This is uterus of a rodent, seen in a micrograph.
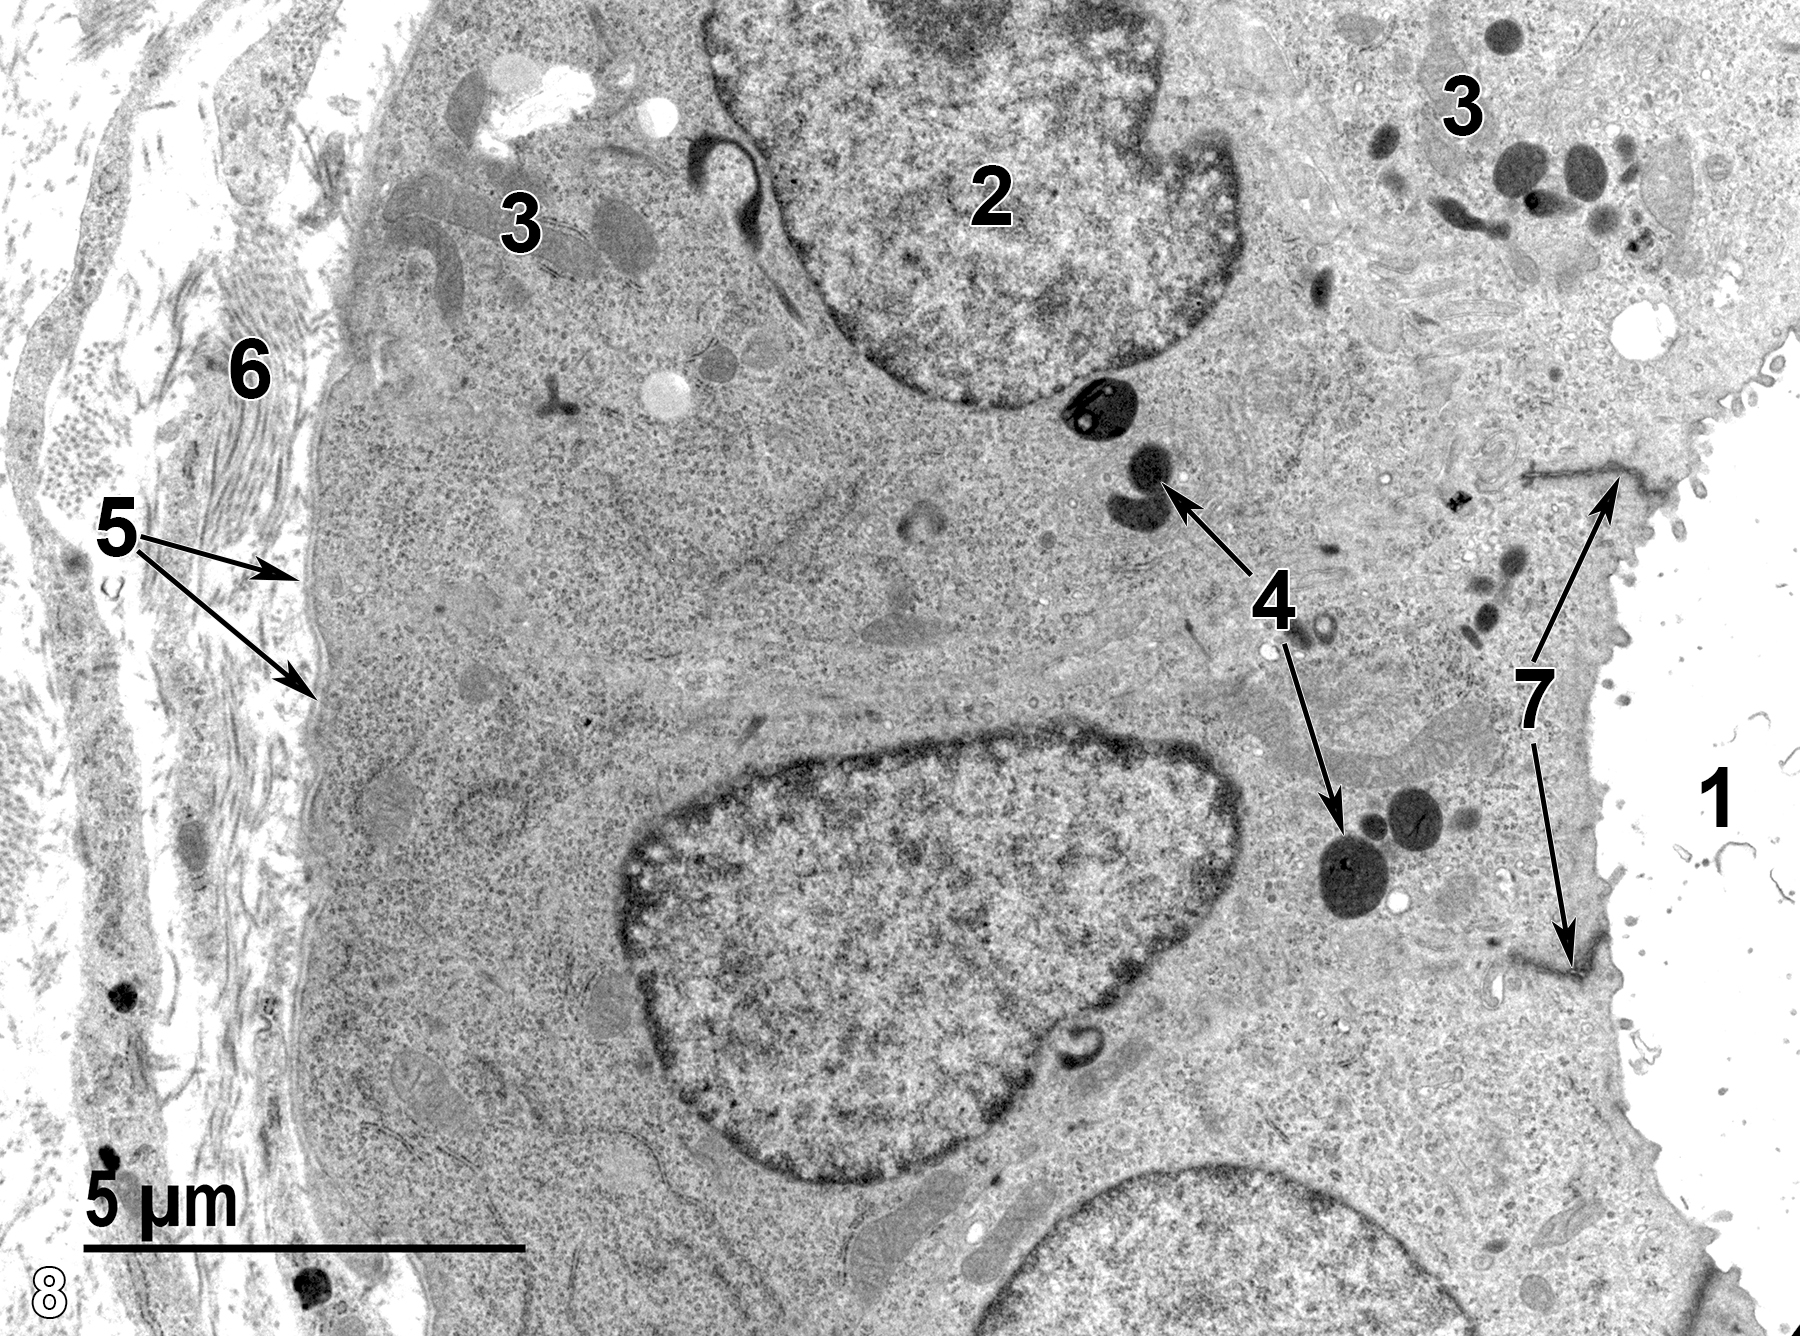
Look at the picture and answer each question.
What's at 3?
The number 3 marks the pleomorphic mitochondria.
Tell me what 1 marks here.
The number 1 marks the glandular lumen.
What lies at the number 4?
Apical secretory granules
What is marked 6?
collagenous matrix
